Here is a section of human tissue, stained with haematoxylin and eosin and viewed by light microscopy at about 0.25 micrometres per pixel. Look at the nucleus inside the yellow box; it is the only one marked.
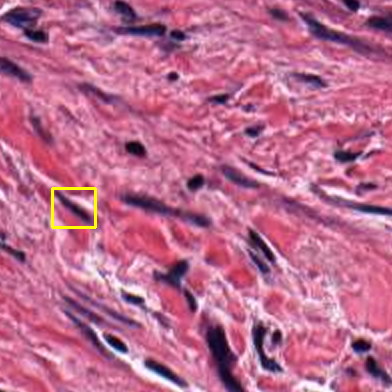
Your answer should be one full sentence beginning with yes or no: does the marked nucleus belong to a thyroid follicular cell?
No, a thyroid follicular cell is not the cell of the marked nucleus; a supporting cell is.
